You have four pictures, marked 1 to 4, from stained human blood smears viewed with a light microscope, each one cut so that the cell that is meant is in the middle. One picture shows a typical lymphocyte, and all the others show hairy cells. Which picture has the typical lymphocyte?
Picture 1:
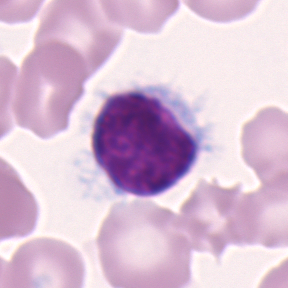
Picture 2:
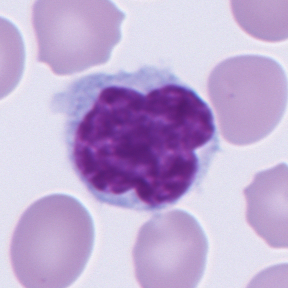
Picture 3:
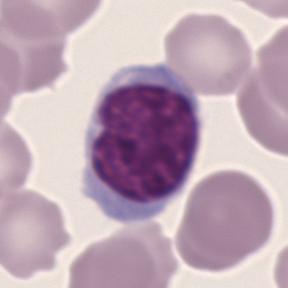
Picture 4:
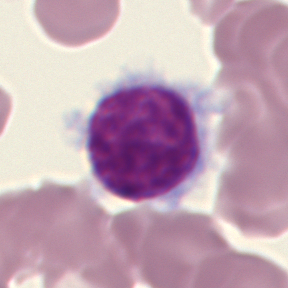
3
